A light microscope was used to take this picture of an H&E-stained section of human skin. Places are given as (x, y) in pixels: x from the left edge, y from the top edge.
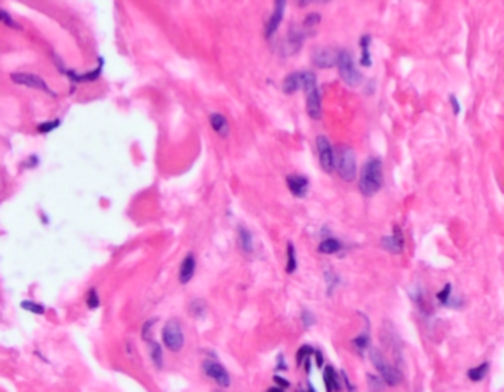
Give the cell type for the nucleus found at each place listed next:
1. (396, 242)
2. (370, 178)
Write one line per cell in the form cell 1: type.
cell 1: fibroblast
cell 2: endothelial cell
